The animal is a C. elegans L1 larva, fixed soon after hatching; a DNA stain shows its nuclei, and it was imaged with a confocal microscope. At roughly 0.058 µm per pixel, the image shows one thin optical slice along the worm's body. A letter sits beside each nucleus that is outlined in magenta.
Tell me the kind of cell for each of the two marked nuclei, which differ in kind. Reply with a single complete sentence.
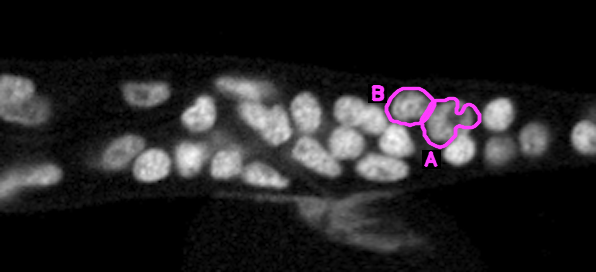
One is from a seam cell, namely A, and the other, B, is from a body wall muscle cell.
